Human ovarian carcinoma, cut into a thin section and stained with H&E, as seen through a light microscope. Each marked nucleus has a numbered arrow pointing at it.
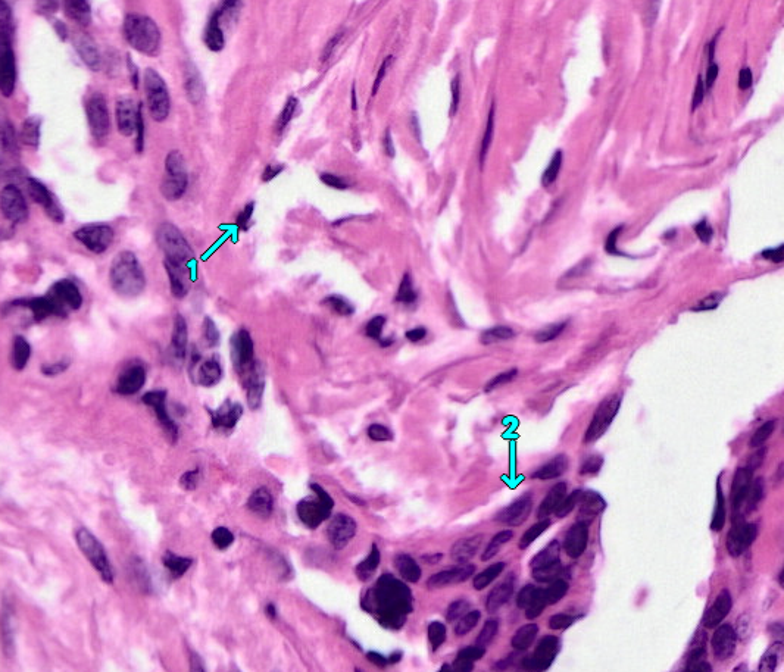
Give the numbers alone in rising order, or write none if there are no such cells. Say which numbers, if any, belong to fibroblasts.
1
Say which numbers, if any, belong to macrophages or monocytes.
none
